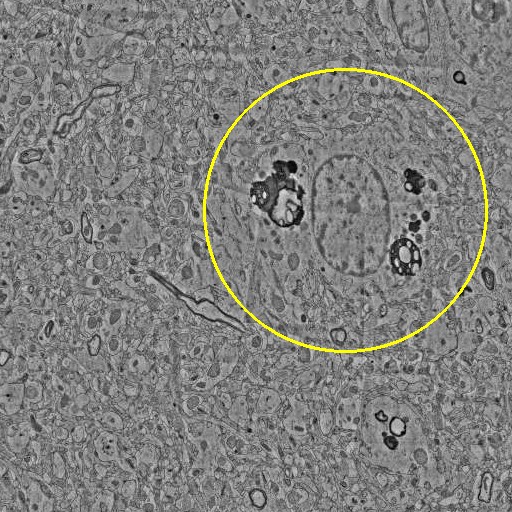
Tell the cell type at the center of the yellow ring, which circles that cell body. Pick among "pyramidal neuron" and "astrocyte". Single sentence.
The ring is centered on the body of an astrocyte.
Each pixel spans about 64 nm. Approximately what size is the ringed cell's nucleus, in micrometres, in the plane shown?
Roughly 8 by 5 micrometres; in this plane, clearly longer than it is wide.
